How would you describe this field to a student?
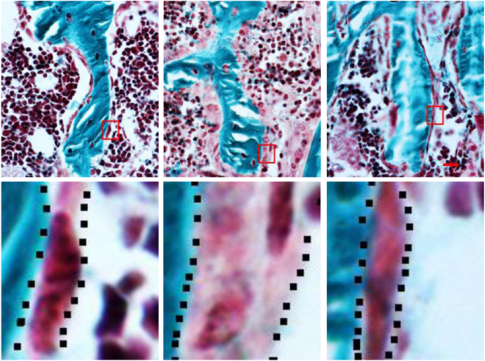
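These are bone trabeculae with the surrounding bone marrow, shown in a trichrome stain. The mineralized bone stains blue-green, while the marrow spaces are packed with small cells whose dark purple nuclei are round and crowded together. Small red boxes on the bone surfaces mark the areas that are enlarged in the lower row. In those close-ups, a reddish-pink seam of unmineralized matrix, the osteoid, lies along the green bone and is bounded by black dotted lines. Elongated cells with purple nuclei sit within or against this seam. The width of the seam differs between the three enlargements.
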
